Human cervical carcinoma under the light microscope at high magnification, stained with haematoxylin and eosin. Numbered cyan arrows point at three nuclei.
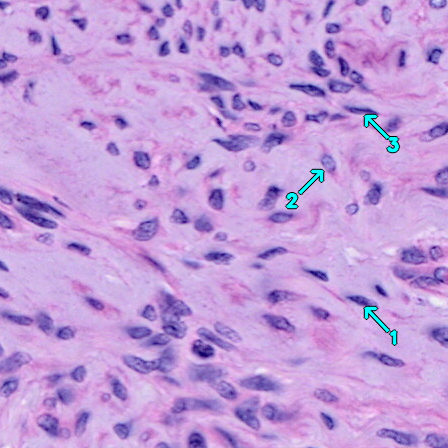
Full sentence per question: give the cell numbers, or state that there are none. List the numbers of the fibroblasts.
The cells with the number labels 1 and 3 are fibroblasts.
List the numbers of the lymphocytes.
None of the numbered cells is one of the lymphocytes.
